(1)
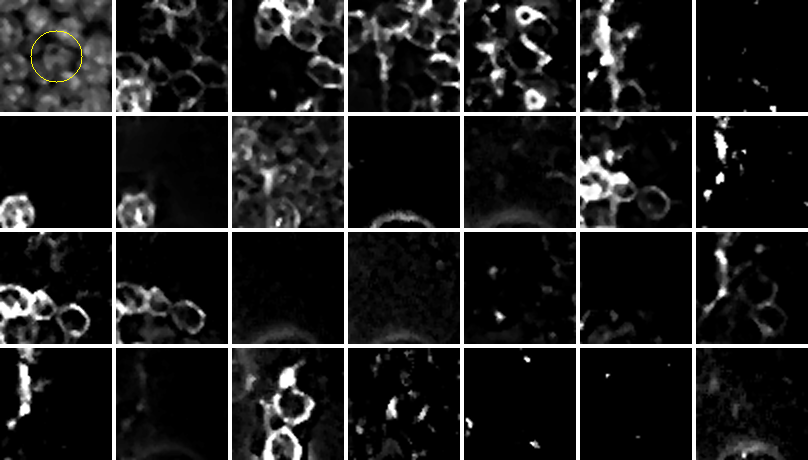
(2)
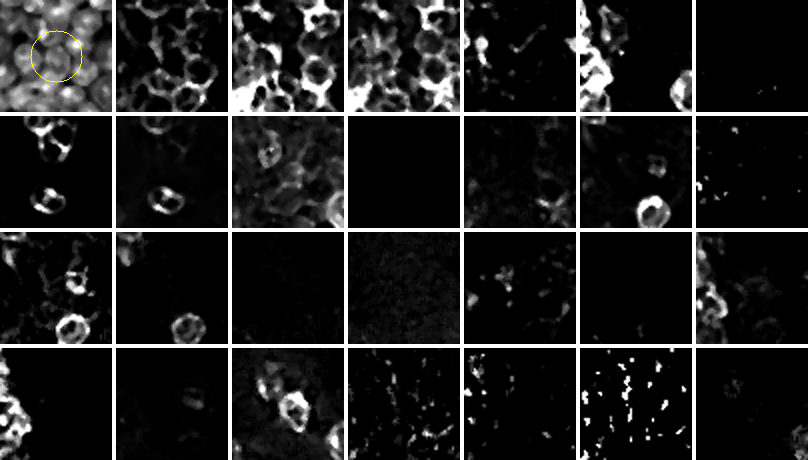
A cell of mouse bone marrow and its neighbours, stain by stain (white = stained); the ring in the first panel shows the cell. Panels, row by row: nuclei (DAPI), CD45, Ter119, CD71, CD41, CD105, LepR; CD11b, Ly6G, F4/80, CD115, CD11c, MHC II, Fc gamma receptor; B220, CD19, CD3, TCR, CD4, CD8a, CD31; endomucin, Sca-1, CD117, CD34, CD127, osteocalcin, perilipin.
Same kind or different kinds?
Same: megakaryocyte-erythroid progenitors.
